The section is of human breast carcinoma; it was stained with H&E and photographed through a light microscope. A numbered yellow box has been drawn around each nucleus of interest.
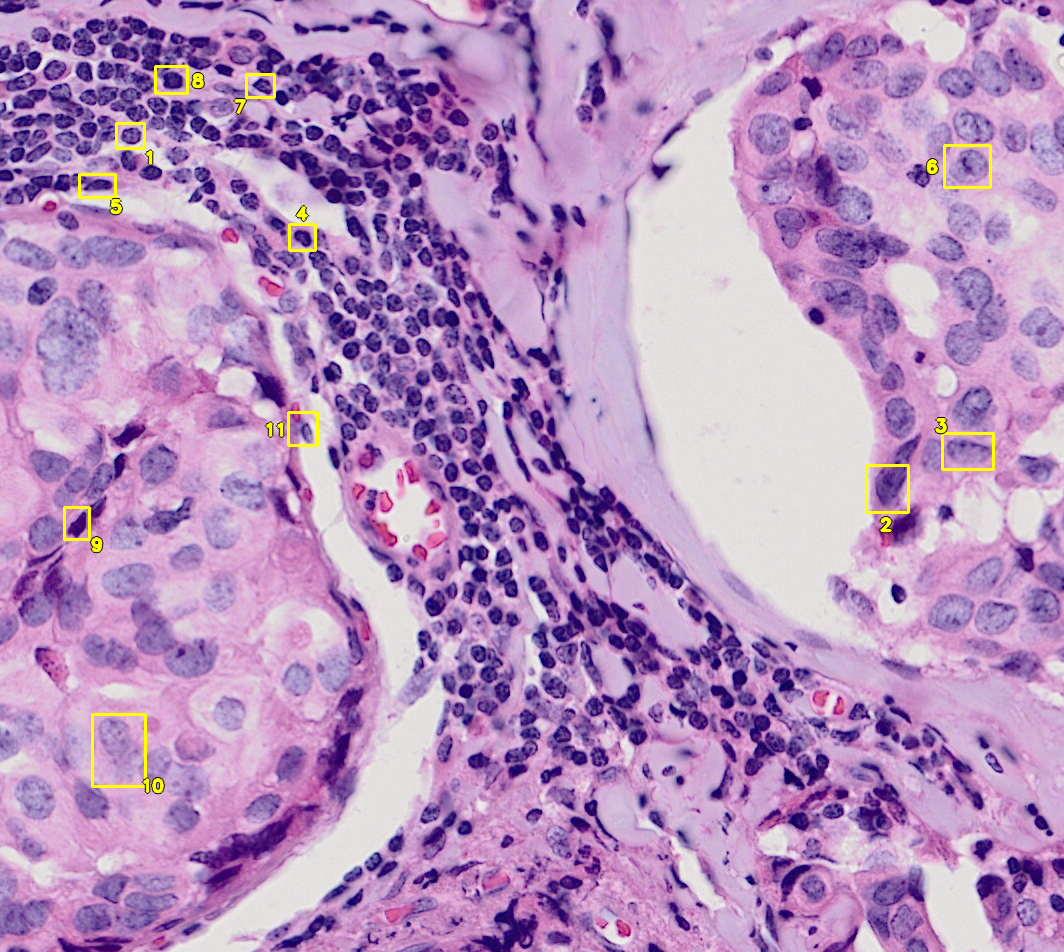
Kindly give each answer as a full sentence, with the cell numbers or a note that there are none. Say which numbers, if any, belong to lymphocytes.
Cells 1, 4, 5, 7 and 8 share one type; they are lymphocytes.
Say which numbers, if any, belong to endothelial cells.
Only the cell with the number 11 is an endothelial cell.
